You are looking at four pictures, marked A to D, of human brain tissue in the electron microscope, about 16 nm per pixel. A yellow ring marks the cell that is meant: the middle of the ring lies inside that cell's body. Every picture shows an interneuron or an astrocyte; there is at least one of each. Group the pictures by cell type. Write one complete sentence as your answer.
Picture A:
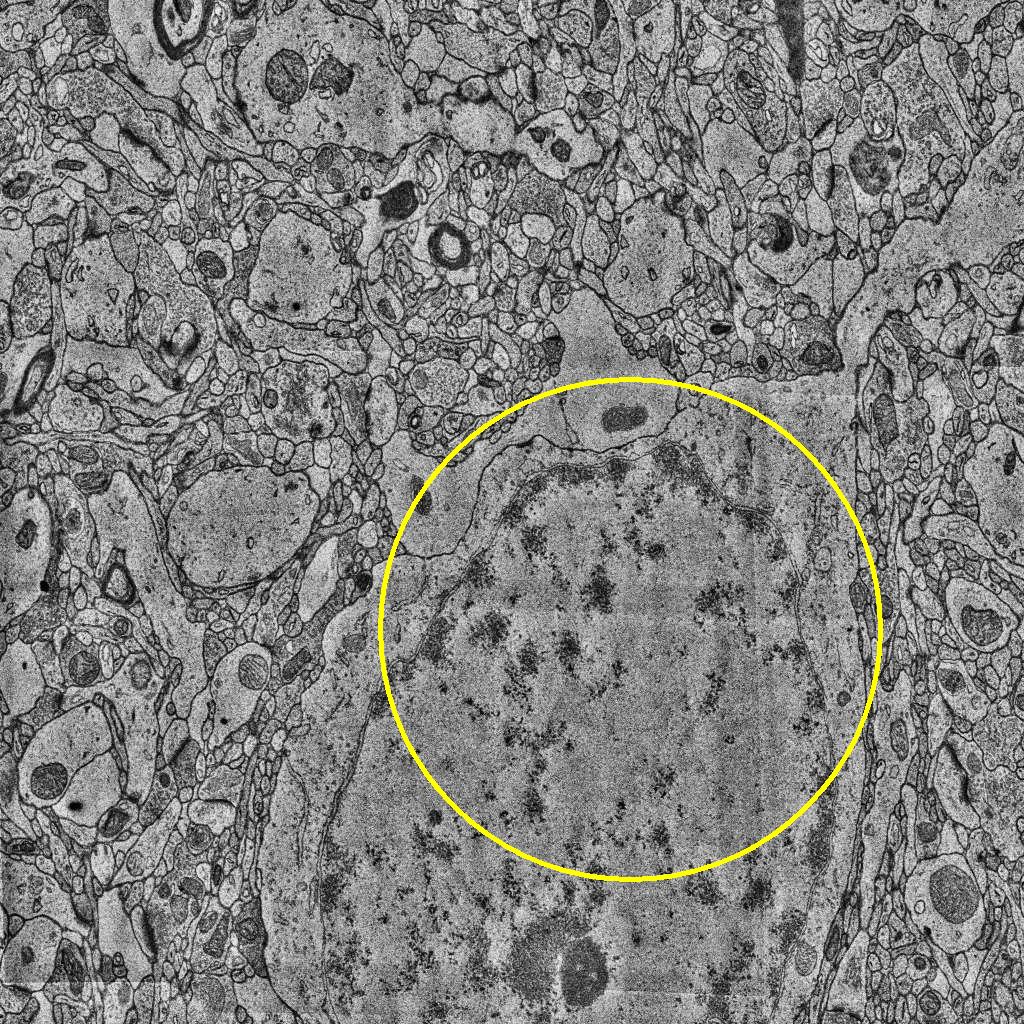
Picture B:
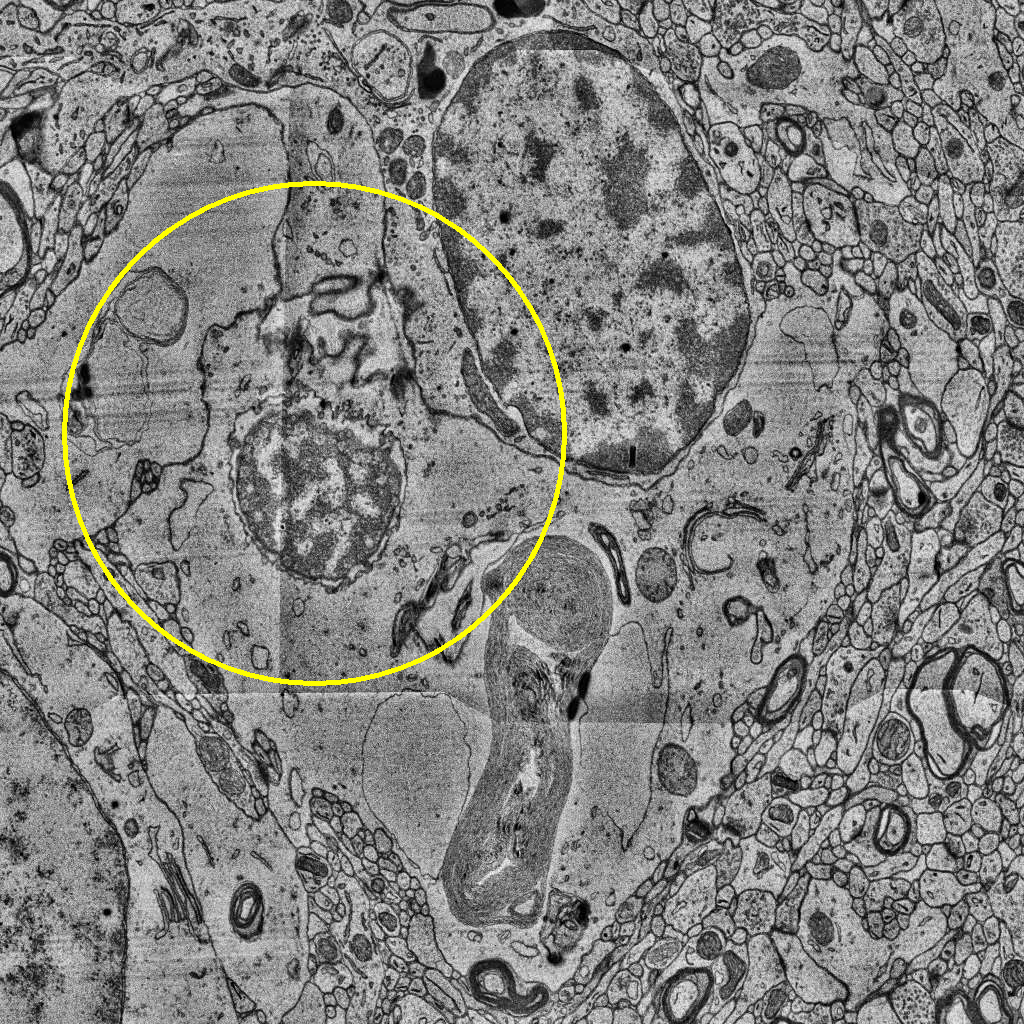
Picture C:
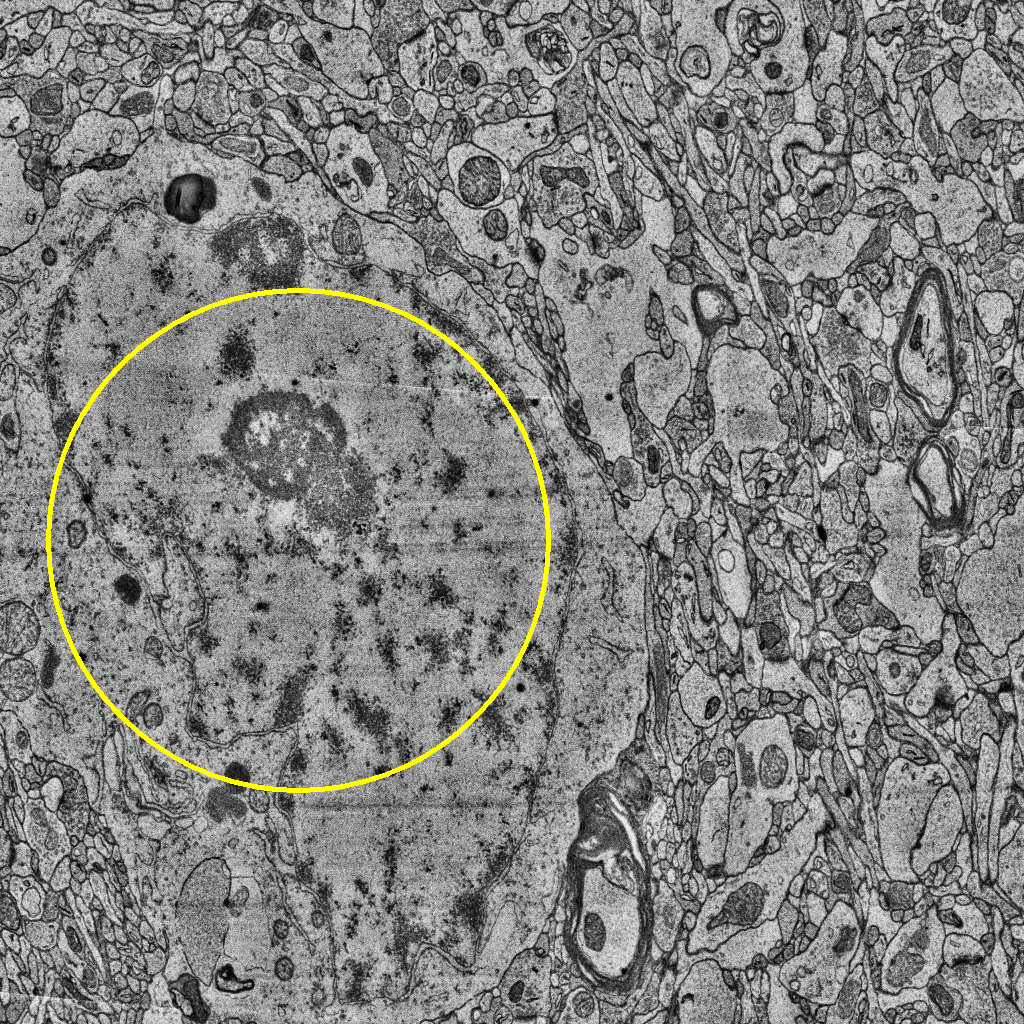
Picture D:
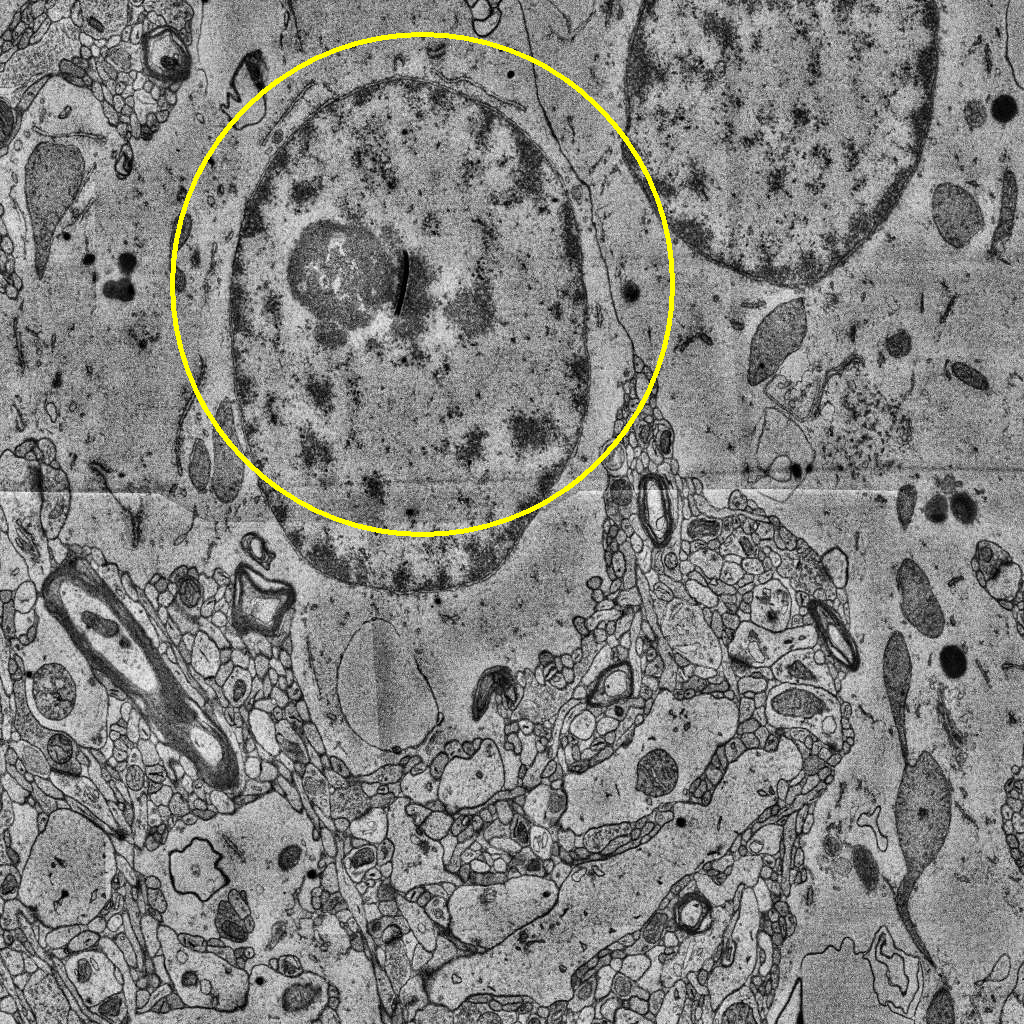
Pictures A and C show interneurons; pictures B and D show astrocytes.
